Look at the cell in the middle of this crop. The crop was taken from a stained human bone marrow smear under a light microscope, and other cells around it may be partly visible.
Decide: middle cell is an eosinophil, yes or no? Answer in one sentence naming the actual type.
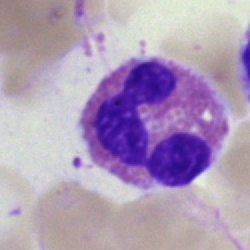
Yes, it is an eosinophil that is seen at the centre of the crop.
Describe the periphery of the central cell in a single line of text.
Smooth all around, the outline has no projections to report.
